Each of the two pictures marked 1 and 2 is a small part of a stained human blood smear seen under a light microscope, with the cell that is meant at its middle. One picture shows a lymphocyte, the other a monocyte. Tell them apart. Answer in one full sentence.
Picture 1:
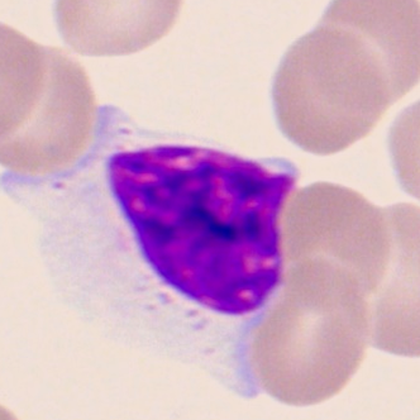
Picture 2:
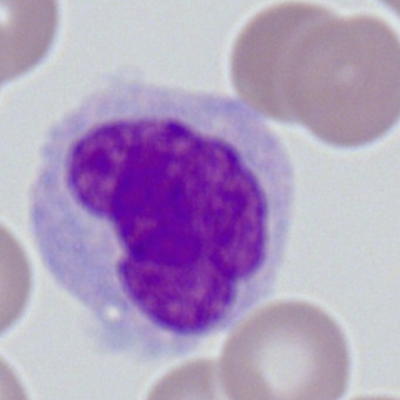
In picture 1 the cell is a lymphocyte; in picture 2, a monocyte.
